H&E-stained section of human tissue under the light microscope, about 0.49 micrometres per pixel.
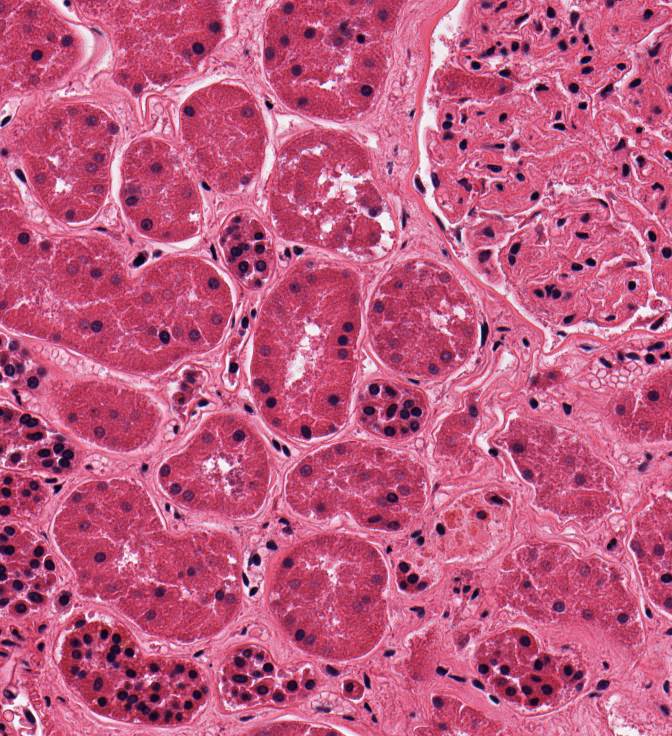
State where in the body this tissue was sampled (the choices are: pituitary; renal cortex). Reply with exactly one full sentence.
The sample on this slide was obtained from the renal cortex.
